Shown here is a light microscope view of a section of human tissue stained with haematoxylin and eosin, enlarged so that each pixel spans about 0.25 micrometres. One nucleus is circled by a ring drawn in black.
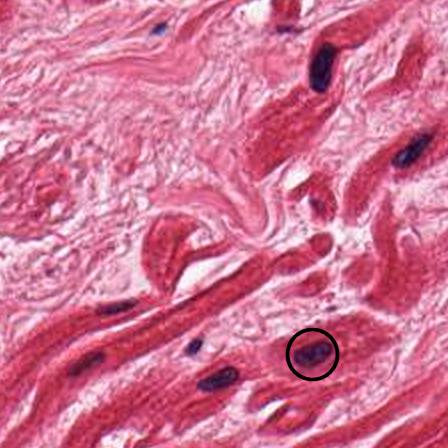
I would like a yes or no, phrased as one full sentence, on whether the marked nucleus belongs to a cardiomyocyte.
Yes, the marked nucleus is one belonging to a cardiomyocyte.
